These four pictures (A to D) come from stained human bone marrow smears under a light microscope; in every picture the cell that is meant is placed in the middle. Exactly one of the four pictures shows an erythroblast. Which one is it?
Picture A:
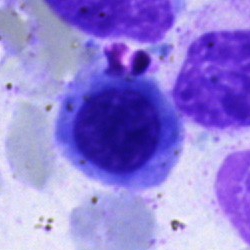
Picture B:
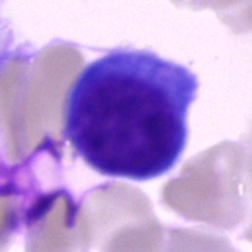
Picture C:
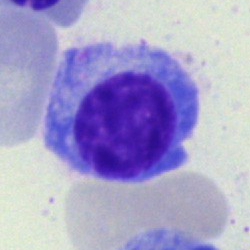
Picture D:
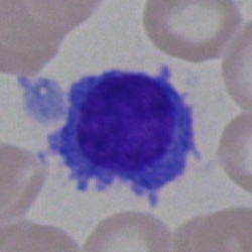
A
